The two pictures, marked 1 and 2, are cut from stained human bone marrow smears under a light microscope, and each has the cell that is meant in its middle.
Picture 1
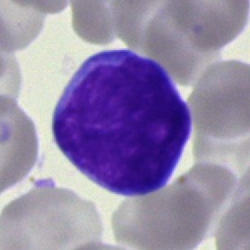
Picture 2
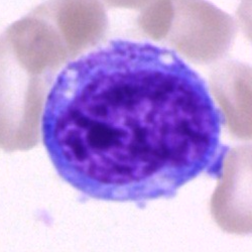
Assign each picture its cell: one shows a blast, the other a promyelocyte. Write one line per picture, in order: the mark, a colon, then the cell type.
1: blast
2: promyelocyte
